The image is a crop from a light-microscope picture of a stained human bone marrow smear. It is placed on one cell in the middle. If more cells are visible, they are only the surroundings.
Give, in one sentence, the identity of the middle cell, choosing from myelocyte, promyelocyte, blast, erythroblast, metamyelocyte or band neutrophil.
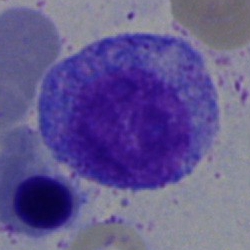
The cell of interest, in the center, is a promyelocyte.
